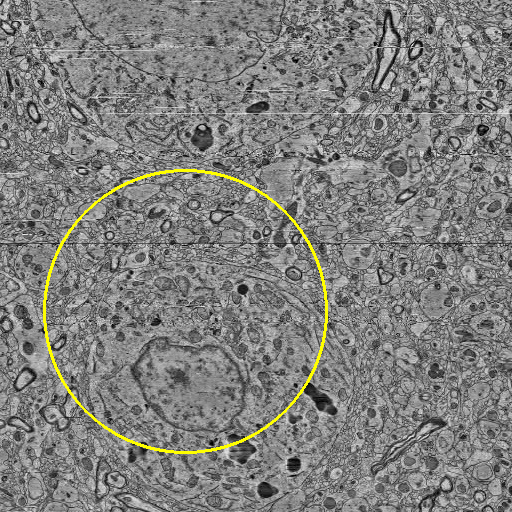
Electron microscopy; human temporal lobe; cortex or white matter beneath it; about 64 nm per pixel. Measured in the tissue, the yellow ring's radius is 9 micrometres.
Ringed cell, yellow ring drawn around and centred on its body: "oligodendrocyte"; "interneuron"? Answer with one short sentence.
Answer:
This ringed cell is an interneuron.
